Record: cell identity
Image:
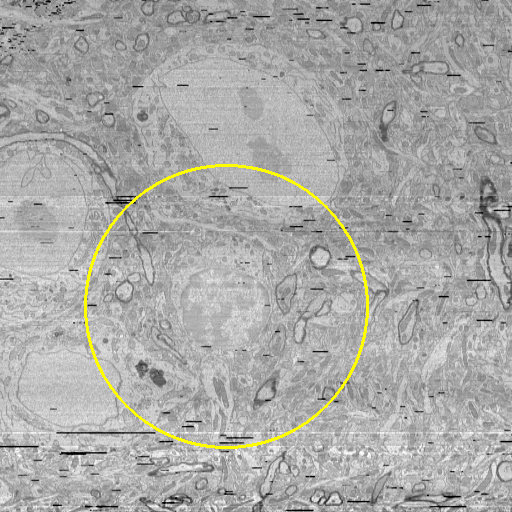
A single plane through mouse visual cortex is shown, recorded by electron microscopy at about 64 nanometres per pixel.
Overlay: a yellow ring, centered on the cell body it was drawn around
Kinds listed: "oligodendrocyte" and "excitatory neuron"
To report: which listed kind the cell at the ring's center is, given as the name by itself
oligodendrocyte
